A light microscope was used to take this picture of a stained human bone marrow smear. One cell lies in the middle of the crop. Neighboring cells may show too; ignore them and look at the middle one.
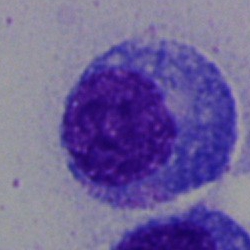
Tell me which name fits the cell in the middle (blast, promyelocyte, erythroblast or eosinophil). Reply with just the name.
promyelocyte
